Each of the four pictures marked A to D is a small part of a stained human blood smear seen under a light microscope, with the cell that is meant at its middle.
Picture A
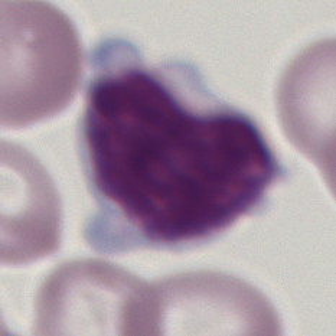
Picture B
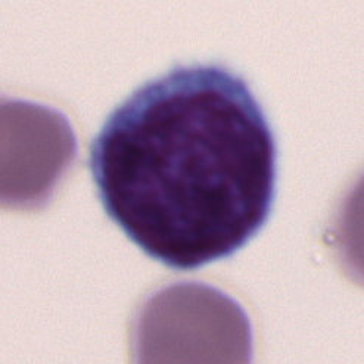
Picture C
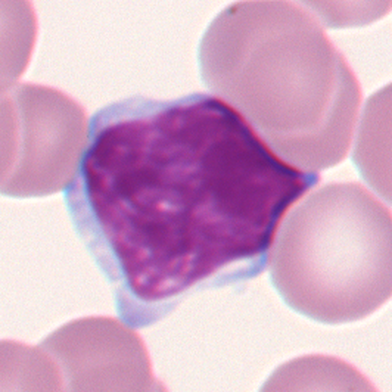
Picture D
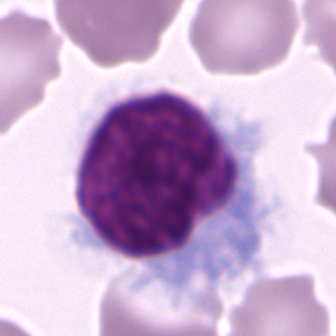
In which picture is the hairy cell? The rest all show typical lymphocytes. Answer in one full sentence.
The cell in picture D is the hairy cell.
